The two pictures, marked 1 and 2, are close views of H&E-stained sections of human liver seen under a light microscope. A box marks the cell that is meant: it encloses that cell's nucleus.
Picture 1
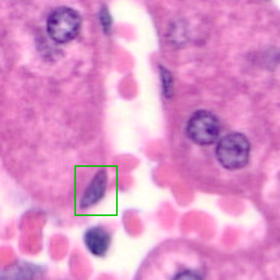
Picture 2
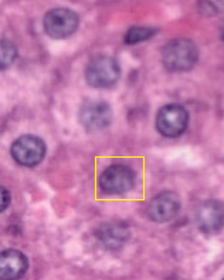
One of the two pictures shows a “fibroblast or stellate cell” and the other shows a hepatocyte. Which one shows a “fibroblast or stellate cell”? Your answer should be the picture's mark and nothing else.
1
